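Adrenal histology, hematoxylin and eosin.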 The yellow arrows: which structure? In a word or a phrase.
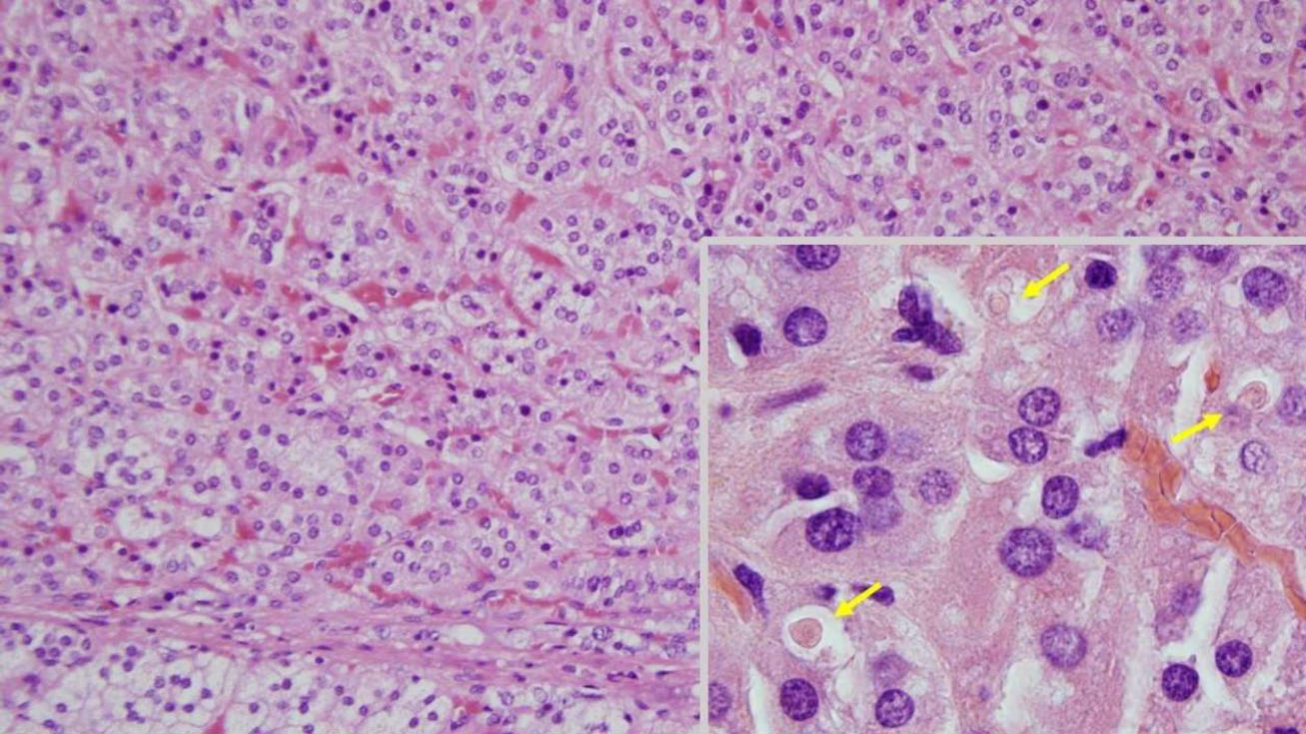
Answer: Spironolactone bodies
